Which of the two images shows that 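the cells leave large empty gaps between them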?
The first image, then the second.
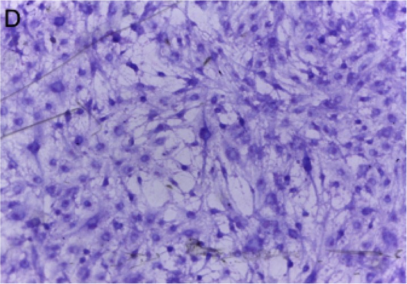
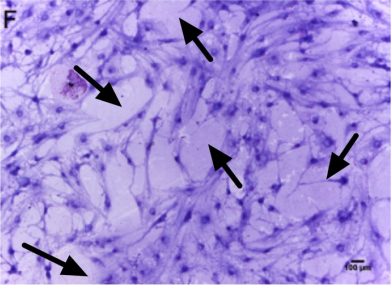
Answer: The second image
